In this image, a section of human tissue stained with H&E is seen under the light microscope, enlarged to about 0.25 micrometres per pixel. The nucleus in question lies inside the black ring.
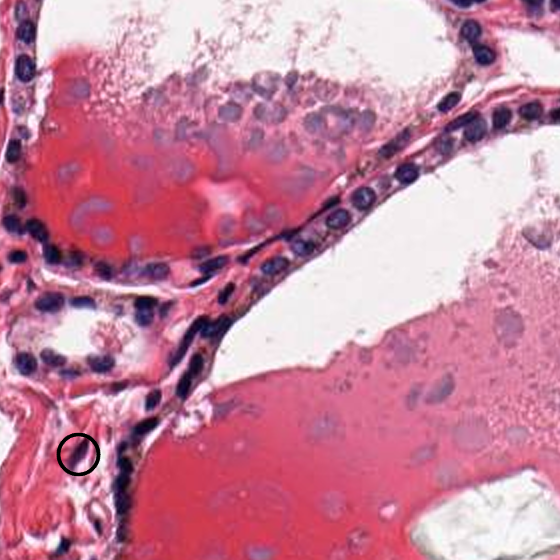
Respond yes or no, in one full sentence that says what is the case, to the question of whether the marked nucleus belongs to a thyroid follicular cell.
No, it is a supporting cell whose nucleus is marked, not a thyroid follicular cell.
